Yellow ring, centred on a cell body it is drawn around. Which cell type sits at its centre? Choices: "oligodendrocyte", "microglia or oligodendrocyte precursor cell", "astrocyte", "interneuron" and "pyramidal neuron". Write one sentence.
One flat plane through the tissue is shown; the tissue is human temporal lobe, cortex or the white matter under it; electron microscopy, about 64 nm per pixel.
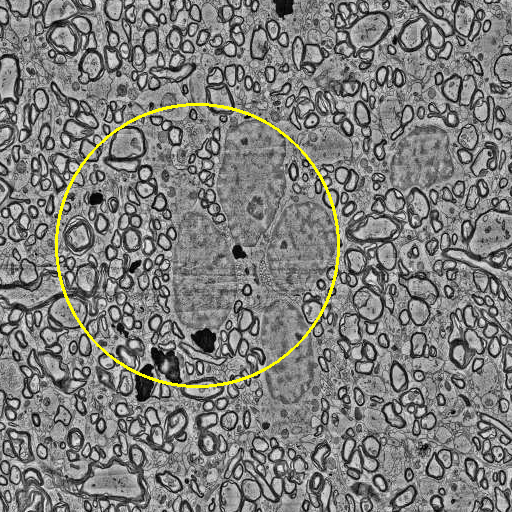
At the centre of the ring sits an oligodendrocyte.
